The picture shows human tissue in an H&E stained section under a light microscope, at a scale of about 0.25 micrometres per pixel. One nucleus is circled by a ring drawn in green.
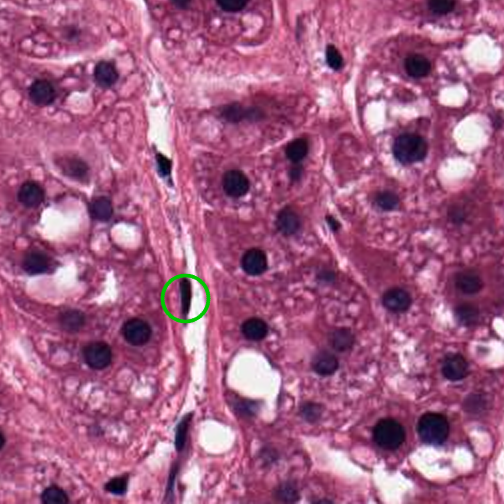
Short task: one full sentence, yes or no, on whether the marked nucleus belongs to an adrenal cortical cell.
No, the marked nucleus is not borne by an adrenal cortical cell; it is borne by a supporting cell.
